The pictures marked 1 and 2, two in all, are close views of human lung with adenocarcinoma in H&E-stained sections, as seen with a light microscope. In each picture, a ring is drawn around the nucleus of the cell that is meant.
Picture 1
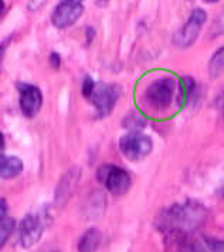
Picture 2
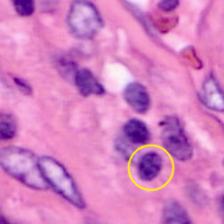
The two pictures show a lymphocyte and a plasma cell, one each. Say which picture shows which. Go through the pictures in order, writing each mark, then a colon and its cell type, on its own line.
1: plasma cell
2: lymphocyte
